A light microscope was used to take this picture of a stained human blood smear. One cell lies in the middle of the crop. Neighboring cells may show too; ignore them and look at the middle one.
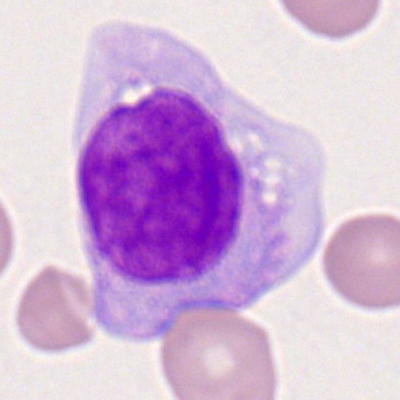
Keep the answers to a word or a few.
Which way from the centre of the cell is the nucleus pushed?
left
